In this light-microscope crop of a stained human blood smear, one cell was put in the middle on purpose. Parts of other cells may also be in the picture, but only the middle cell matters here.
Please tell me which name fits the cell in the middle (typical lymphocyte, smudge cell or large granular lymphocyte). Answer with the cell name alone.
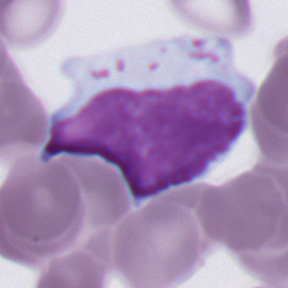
large granular lymphocyte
